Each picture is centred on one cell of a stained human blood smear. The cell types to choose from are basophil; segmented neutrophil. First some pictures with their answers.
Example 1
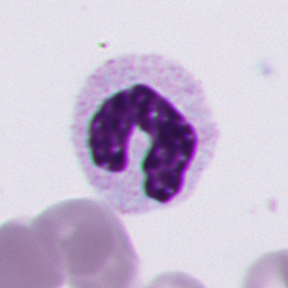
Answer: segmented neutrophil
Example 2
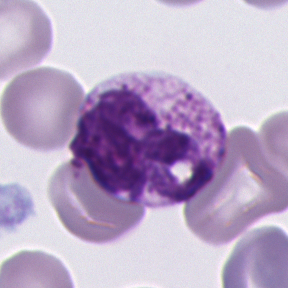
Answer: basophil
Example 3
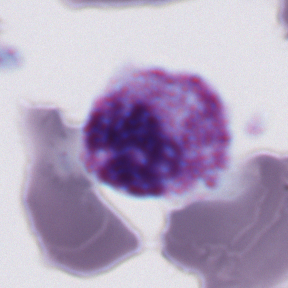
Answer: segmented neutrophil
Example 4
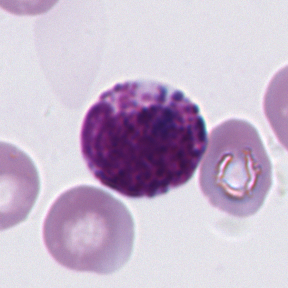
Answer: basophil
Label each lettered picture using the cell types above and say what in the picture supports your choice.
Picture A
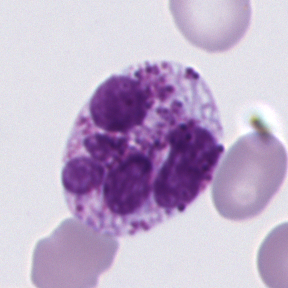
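Answer: basophil. Coarse dark purple granules are scattered through the cytoplasm.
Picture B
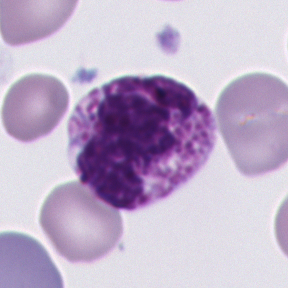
Answer: basophil. Coarse dark purple granules lie over the nucleus and blur its border.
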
